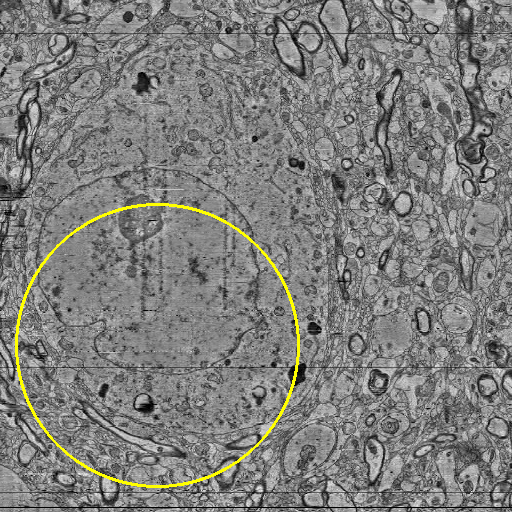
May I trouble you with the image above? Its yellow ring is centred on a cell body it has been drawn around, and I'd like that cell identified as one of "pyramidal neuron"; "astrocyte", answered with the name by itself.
pyramidal neuron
